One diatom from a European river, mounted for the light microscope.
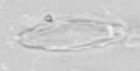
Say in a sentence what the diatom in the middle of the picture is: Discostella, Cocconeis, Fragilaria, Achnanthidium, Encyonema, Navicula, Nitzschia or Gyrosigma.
This is Achnanthidium.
